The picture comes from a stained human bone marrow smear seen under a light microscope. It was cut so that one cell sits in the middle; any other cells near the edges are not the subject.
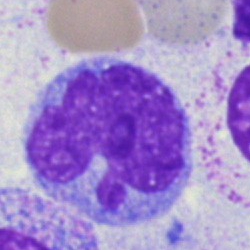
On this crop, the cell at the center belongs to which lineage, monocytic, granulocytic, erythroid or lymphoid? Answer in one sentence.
Lineage field for the centered cell should read monocytic.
